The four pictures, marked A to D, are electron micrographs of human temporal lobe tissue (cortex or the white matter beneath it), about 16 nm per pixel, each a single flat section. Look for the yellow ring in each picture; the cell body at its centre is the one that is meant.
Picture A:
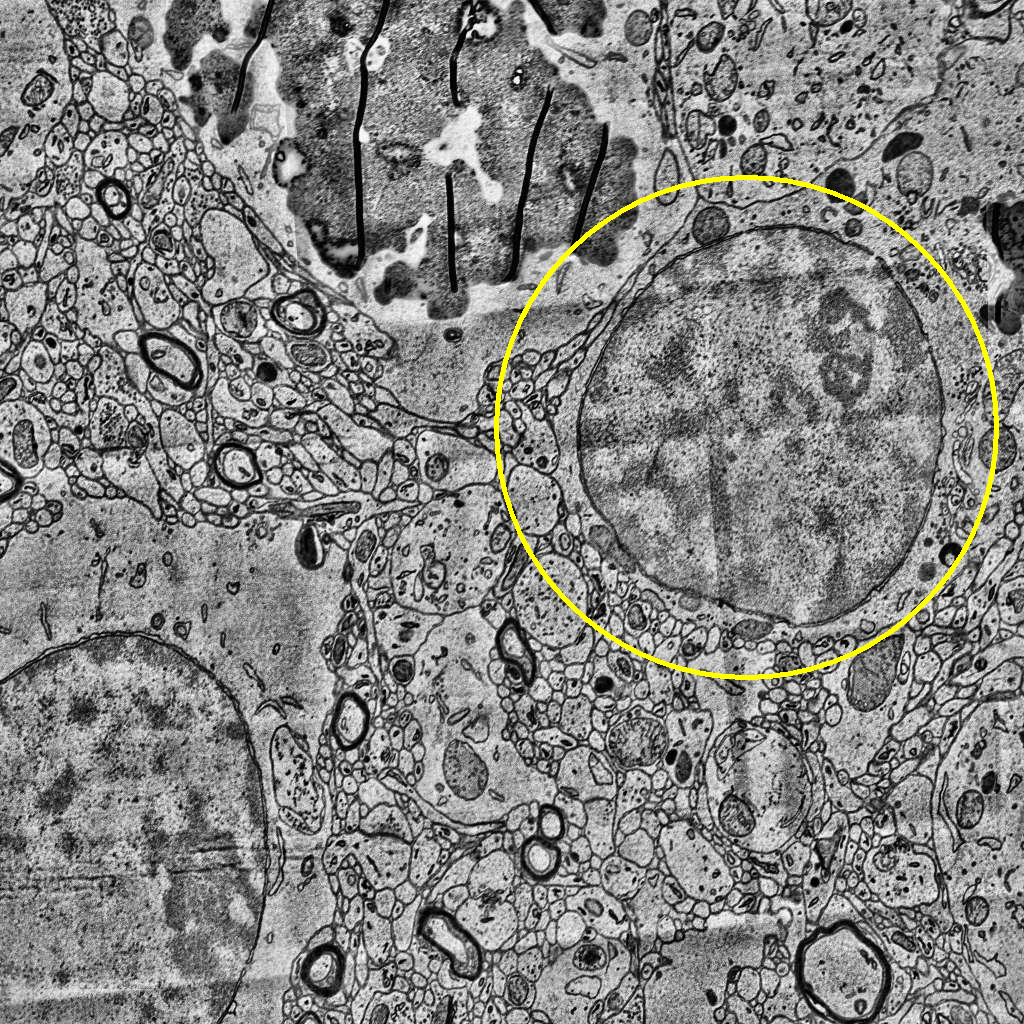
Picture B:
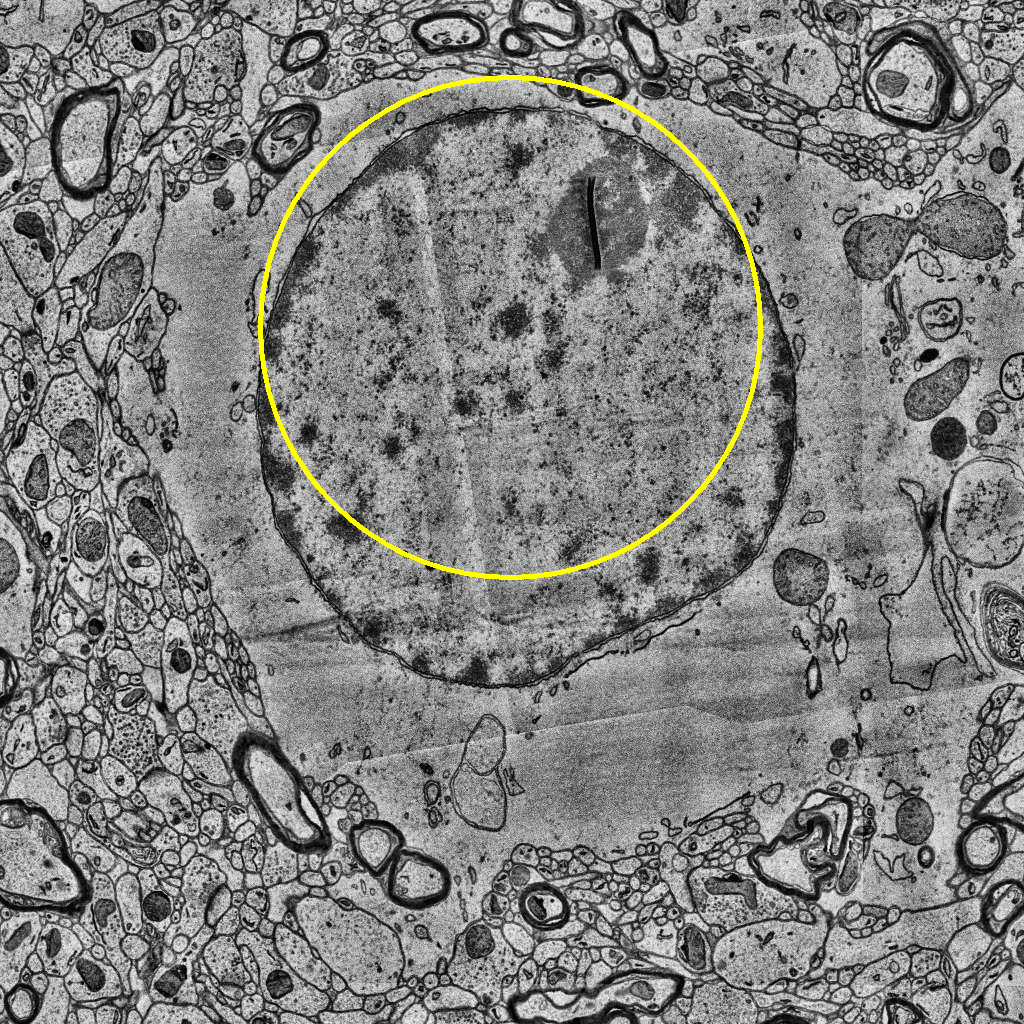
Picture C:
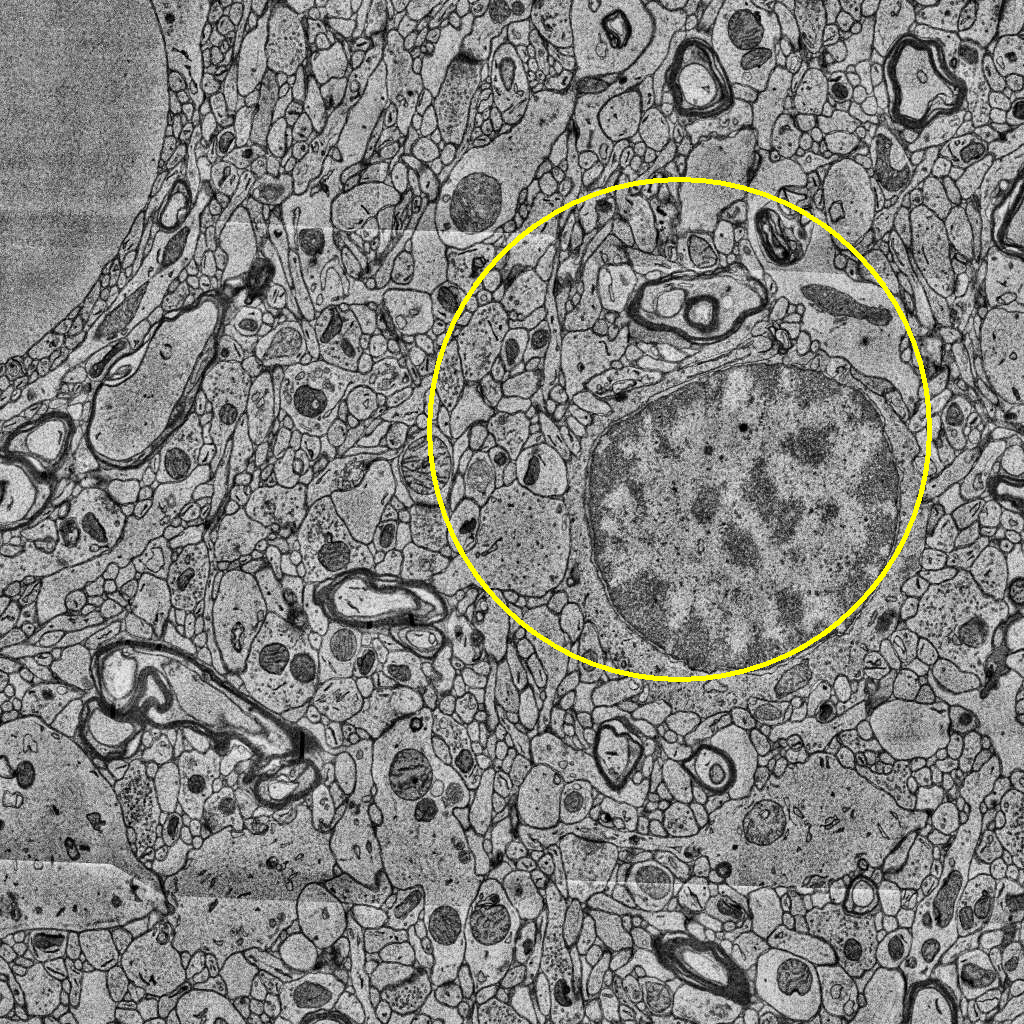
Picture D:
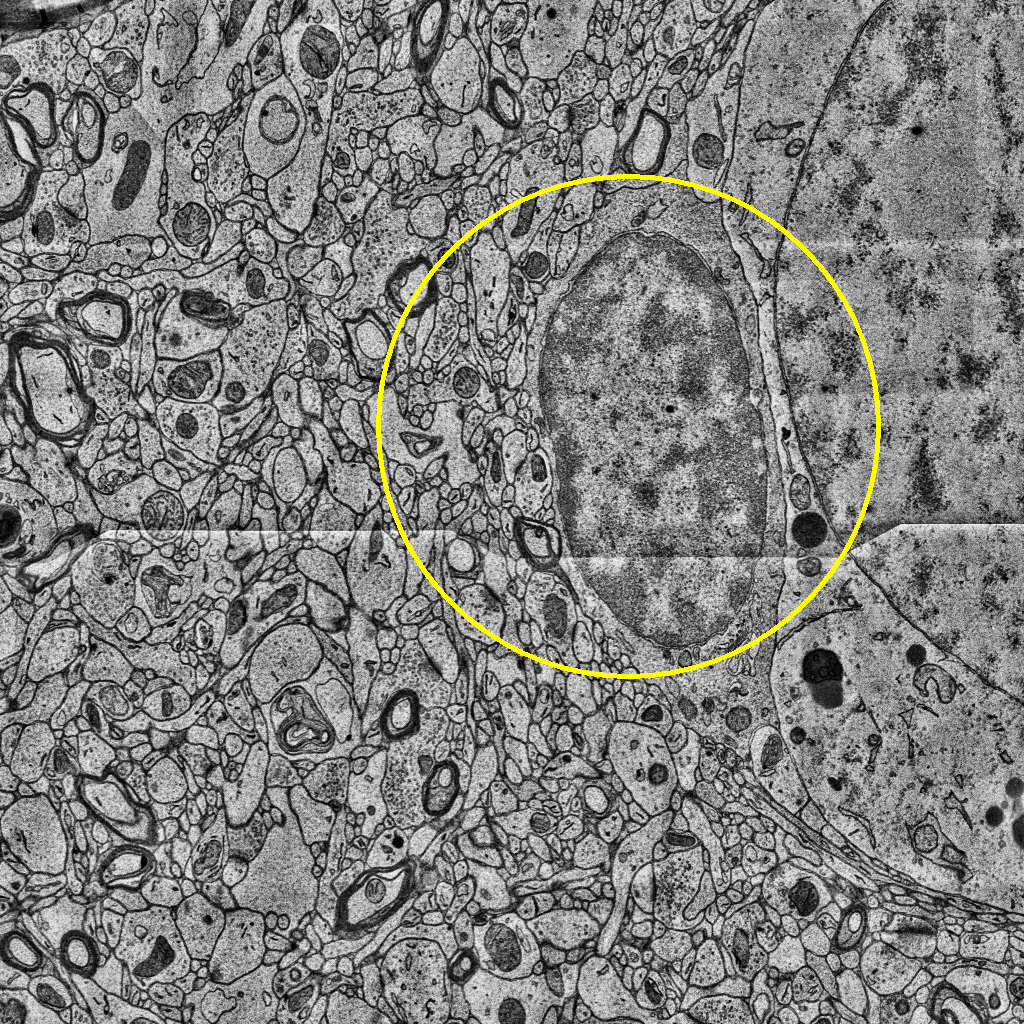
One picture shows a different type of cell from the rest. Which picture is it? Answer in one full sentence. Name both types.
All pictures except B show oligodendrocytes; picture B shows an astrocyte.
